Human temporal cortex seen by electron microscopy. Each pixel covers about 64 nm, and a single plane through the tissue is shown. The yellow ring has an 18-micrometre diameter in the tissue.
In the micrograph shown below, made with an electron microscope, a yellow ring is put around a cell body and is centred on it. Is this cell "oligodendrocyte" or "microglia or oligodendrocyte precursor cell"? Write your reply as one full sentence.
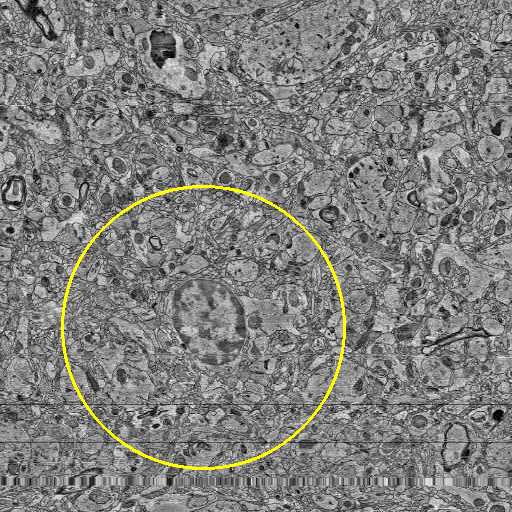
In the micrograph, a microglial cell or oligodendrocyte precursor cell is the cell at the centre of the yellow ring.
